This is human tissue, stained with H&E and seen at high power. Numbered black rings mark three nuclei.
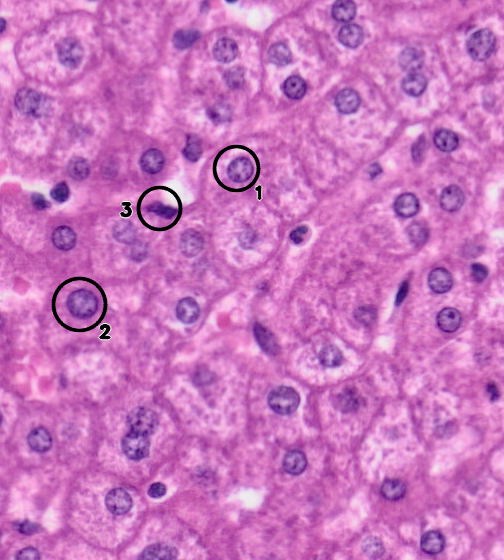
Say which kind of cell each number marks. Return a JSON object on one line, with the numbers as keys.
{"1": "hepatocyte", "2": "hepatocyte", "3": "fibroblast or stellate cell"}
